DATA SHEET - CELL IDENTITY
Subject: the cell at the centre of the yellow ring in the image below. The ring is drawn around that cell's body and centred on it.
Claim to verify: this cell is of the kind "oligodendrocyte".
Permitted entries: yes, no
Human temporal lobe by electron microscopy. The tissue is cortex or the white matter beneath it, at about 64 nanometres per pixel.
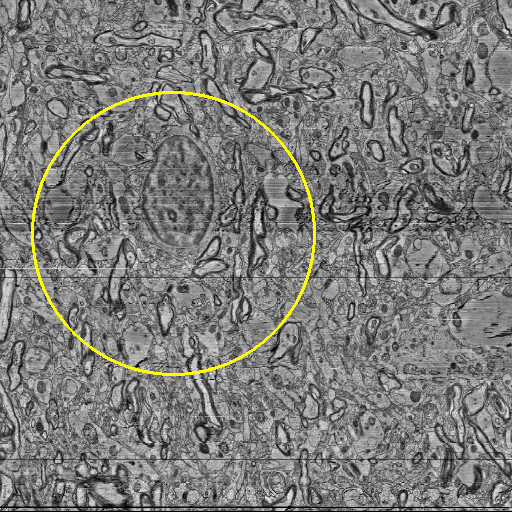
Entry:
yes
